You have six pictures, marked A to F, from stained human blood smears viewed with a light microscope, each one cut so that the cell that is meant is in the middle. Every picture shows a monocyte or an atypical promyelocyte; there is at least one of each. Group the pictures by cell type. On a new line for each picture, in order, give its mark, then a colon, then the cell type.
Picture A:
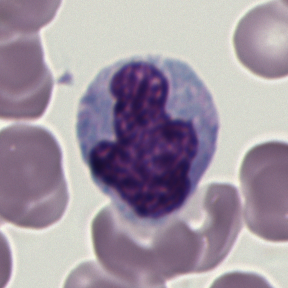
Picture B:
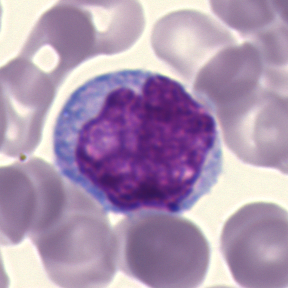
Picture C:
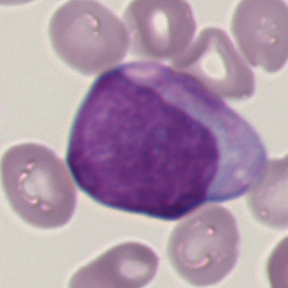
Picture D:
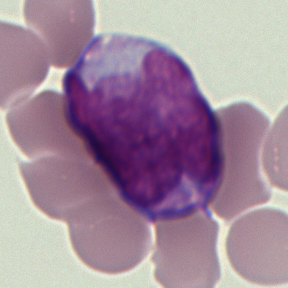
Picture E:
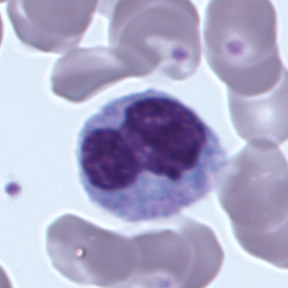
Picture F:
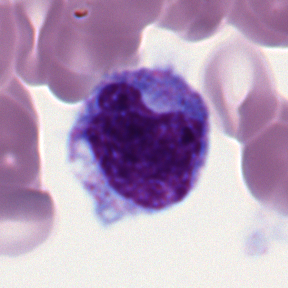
A: monocyte
B: monocyte
C: atypical promyelocyte
D: atypical promyelocyte
E: monocyte
F: monocyte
